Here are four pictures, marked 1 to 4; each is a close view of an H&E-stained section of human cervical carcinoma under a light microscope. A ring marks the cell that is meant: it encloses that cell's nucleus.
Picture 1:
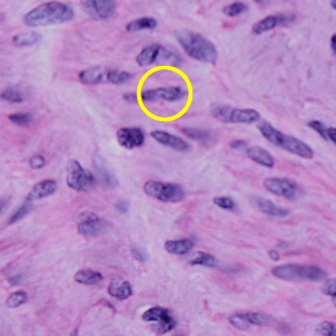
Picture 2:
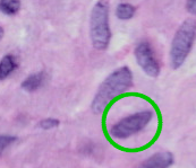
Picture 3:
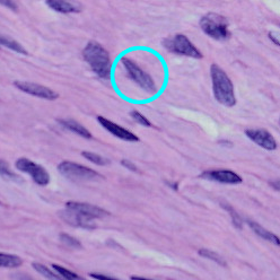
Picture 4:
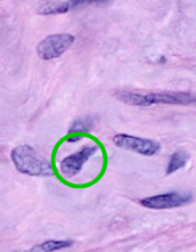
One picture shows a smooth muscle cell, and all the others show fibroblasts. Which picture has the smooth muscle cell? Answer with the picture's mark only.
1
